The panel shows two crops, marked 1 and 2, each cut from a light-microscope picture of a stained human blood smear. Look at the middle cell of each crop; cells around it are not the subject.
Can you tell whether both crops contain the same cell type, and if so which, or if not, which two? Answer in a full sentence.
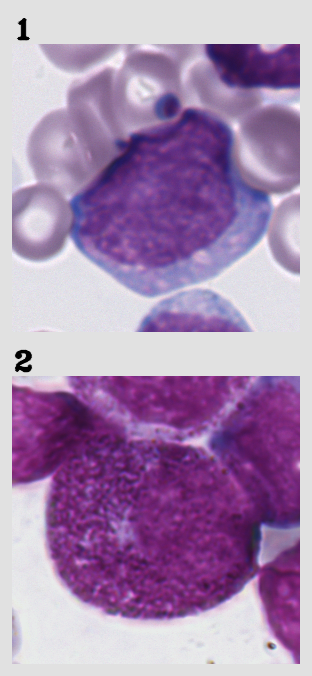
Yes, the two crops show promyelocytes, both of them.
